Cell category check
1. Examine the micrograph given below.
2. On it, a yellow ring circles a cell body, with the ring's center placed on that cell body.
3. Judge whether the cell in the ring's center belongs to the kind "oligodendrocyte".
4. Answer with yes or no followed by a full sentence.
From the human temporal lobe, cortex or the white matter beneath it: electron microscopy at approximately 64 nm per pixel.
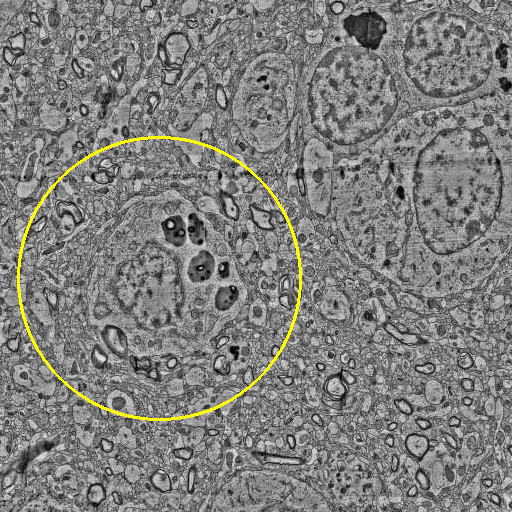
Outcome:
No, the cell found at the ring's center in the micrograph belongs to another kind.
